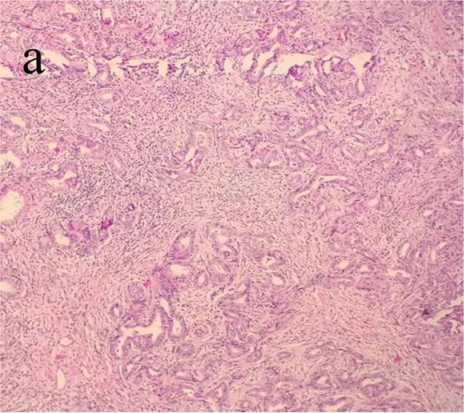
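This low-power field shows a tumor made of many small tubules and glands set in a fibrous stroma. The tubules are irregular in shape and size, each lined by a single row of cuboidal to short columnar cells with purple nuclei. A few tubules are widened into small cystic spaces. Between the glands run broad bands of pale pink stroma containing elongated spindle-shaped nuclei, and in some areas the stroma is more cellular and darker. The glands are spread across the whole field, some clustered closely together, others separated by wide stromal bands.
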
